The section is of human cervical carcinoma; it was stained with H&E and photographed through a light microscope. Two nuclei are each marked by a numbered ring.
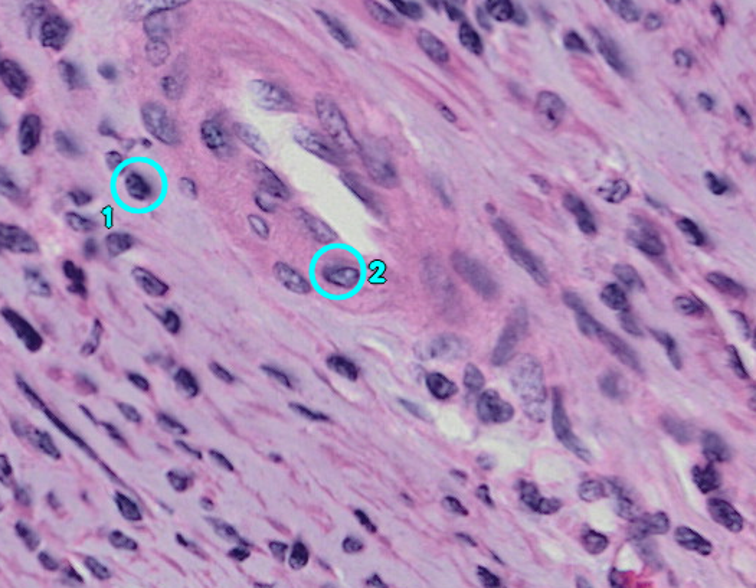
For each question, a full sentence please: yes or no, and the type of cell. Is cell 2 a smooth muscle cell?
Yes, what number 2 marks is a smooth muscle cell.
